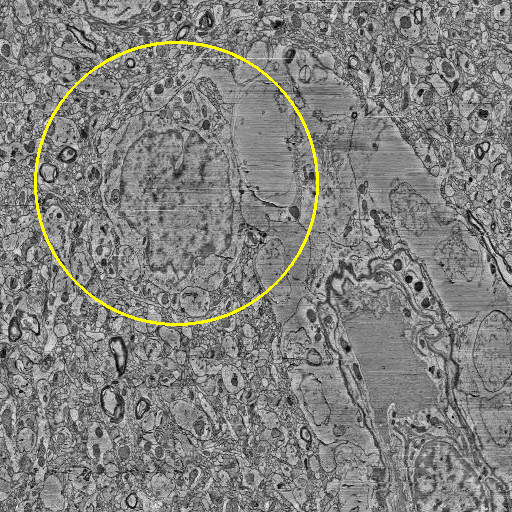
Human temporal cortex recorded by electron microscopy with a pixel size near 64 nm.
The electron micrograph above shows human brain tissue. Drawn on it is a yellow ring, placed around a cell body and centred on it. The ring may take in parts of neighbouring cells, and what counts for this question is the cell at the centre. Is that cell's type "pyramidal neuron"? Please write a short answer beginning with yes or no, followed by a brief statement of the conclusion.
No, its type is another one.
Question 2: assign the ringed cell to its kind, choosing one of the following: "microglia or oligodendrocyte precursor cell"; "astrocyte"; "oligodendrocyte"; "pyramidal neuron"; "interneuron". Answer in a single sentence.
The cell shown in the ring is an interneuron.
